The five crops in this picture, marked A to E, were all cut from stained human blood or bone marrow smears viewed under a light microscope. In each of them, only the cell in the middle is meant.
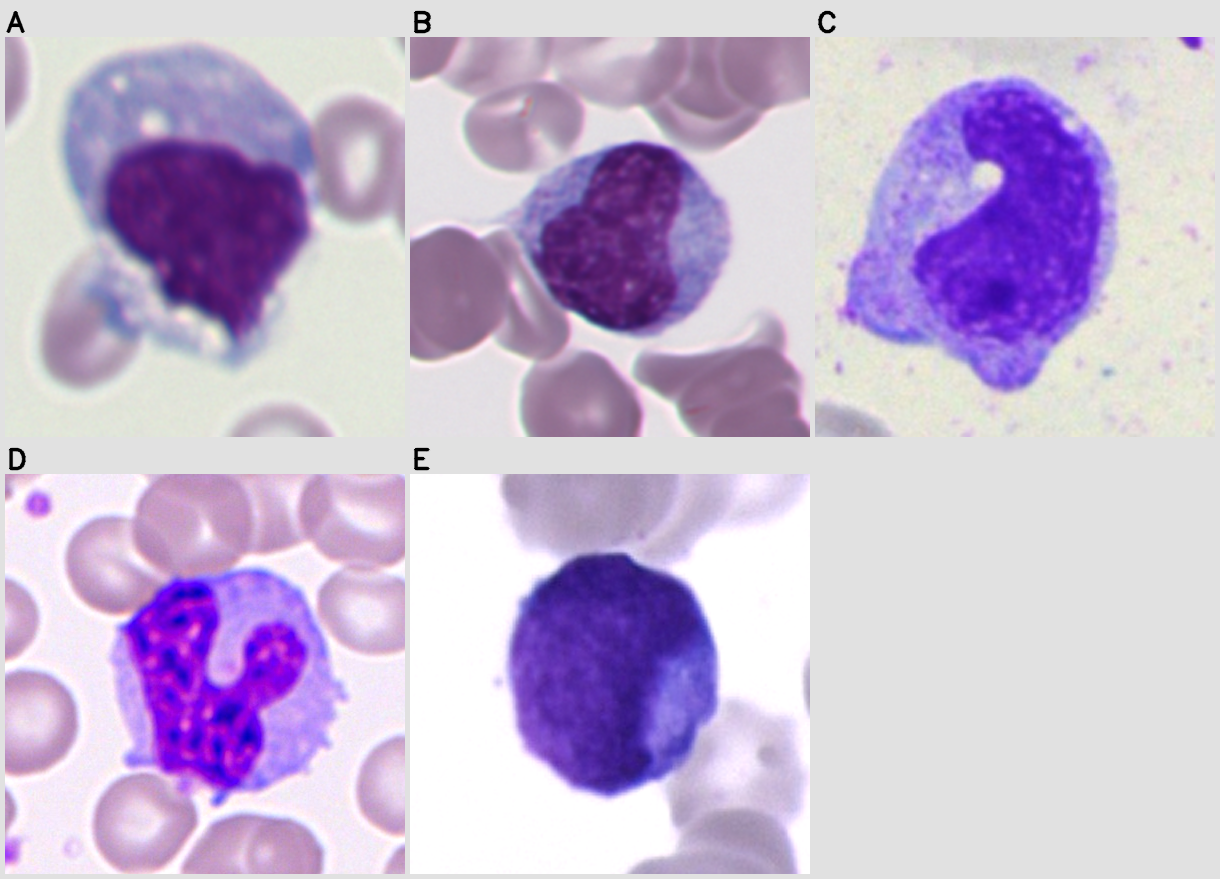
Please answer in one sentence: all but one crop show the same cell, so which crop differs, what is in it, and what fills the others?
In crop E the central cell is a blast, whereas the other crops all contain monocytes.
